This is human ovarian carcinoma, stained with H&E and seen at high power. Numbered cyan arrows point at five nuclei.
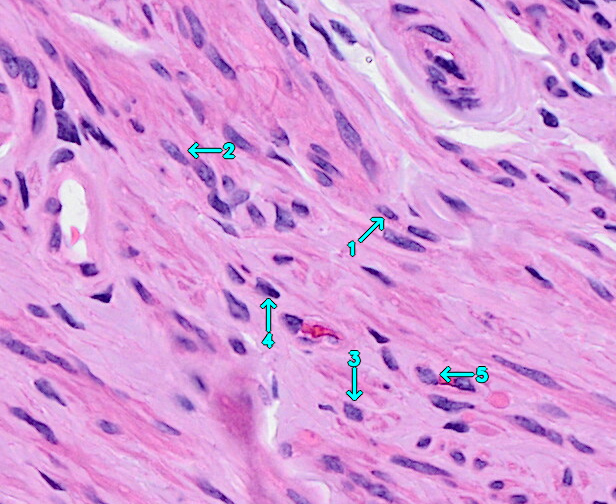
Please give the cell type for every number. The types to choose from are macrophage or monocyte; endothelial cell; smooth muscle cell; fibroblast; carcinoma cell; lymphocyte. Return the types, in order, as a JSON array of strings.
["smooth muscle cell", "smooth muscle cell", "smooth muscle cell", "fibroblast", "endothelial cell"]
